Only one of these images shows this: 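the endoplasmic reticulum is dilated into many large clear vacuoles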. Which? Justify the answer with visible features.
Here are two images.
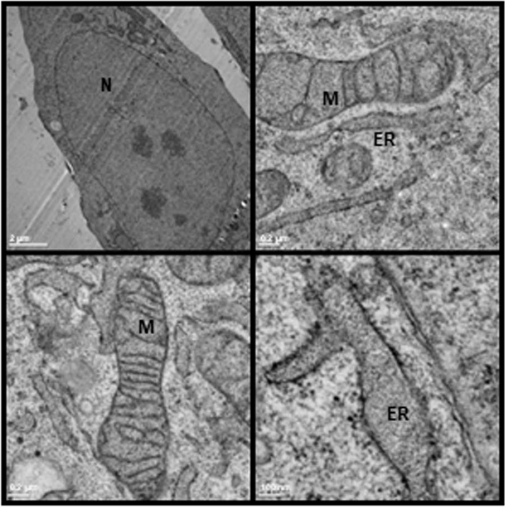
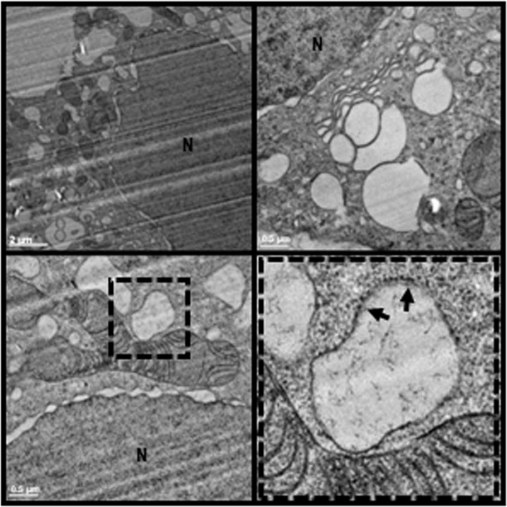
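Second image: the cytoplasm is crowded with large round pale membrane-bound spaces. First image: the endoplasmic reticulum forms thin flat membrane channels without swelling.
Conclusion: the second image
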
